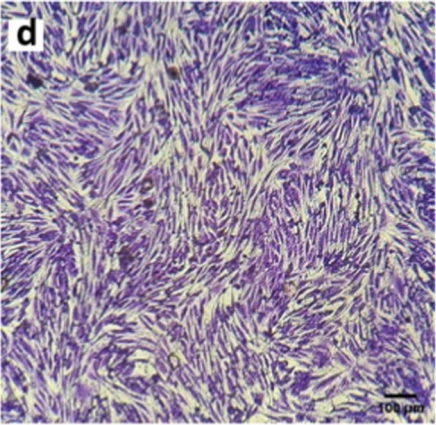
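The cells are slender and spindle-shaped with tapering ends, packed closely in aligned bundles that run in different directions and form swirls. Scattered small dark specks lie on top of the cell layer.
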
